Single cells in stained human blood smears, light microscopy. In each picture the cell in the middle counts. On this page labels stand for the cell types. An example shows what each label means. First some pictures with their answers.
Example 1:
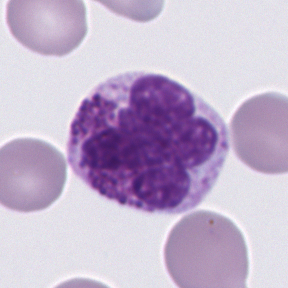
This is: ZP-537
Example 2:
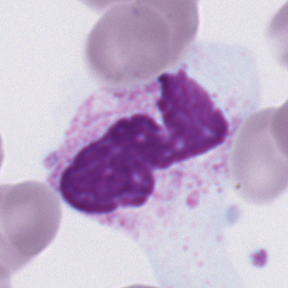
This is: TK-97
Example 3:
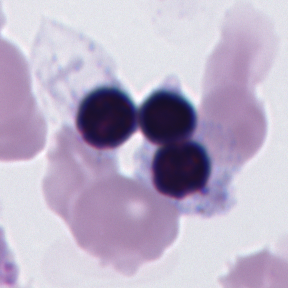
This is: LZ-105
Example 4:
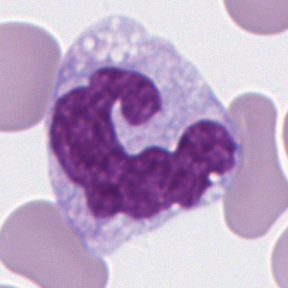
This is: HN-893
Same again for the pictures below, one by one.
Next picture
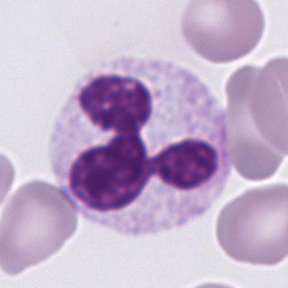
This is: TK-97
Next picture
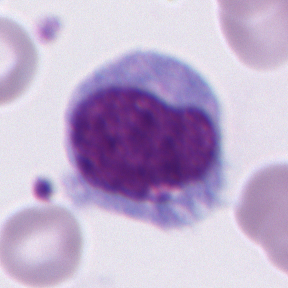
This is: HN-893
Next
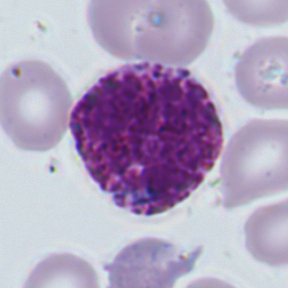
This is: ZP-537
